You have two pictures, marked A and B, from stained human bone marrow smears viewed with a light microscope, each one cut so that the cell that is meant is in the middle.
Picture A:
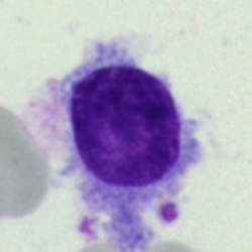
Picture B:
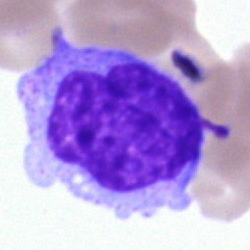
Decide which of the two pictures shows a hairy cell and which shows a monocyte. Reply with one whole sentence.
In picture A the cell is a hairy cell; in picture B, a monocyte.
